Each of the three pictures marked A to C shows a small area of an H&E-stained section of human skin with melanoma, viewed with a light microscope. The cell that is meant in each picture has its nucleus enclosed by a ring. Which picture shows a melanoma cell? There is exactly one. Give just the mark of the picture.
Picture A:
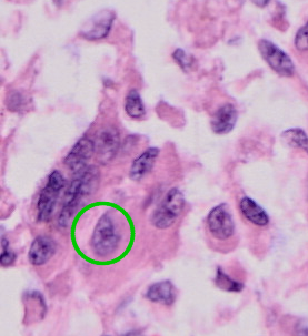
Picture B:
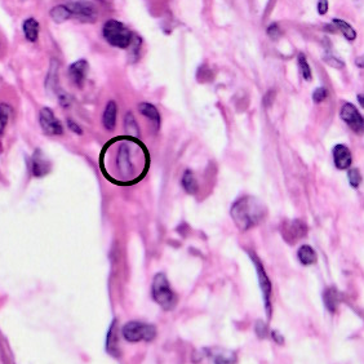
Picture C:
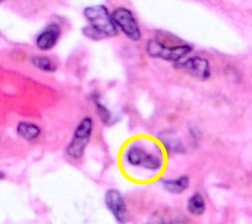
A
